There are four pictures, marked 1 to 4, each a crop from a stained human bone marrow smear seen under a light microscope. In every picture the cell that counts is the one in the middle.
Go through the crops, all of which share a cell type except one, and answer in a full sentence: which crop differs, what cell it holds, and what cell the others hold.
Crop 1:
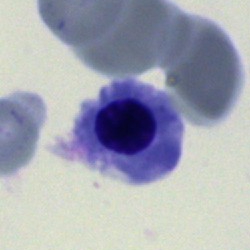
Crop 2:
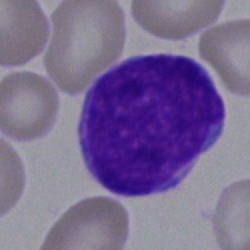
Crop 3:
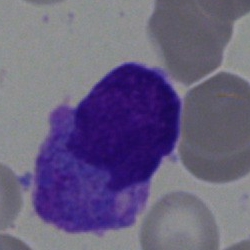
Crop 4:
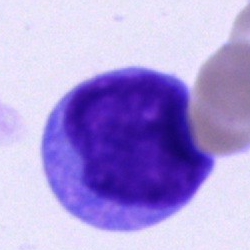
The single exception among the crops is crop 1, which is an erythroblast; the rest show blasts.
